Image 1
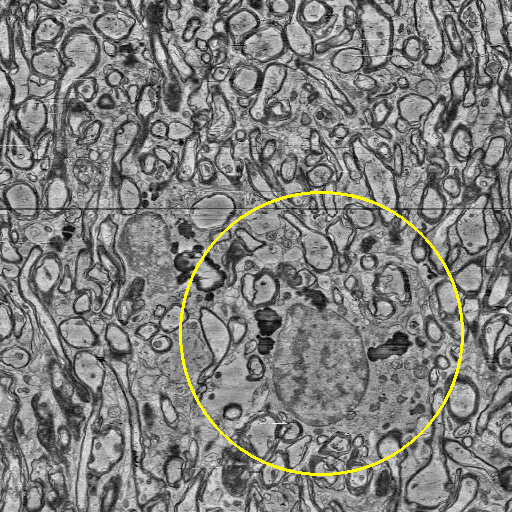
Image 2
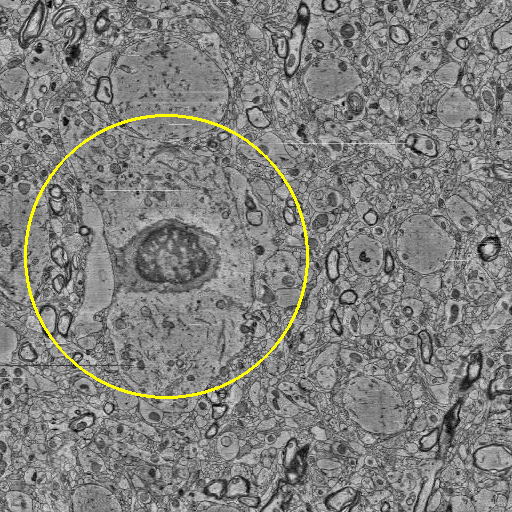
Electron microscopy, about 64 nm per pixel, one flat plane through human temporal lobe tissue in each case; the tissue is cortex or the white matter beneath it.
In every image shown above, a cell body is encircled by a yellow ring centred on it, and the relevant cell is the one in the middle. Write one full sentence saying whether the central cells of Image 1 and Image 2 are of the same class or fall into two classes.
The cell at the ring's centre in Image 1 and its counterpart in Image 2 are of the same class.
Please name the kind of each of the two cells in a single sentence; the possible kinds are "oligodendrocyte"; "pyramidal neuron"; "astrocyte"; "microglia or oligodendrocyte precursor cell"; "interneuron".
In each of the two pictures, the ringed cell is an oligodendrocyte.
